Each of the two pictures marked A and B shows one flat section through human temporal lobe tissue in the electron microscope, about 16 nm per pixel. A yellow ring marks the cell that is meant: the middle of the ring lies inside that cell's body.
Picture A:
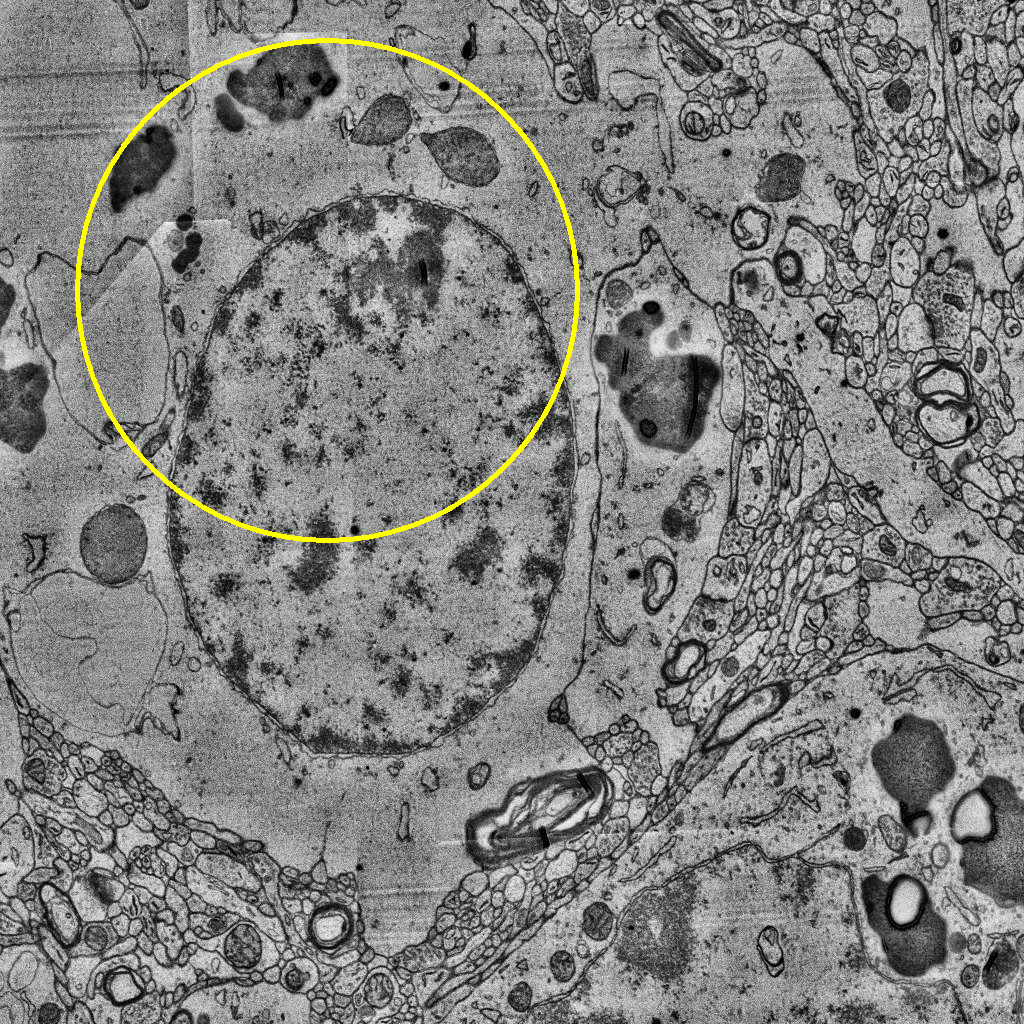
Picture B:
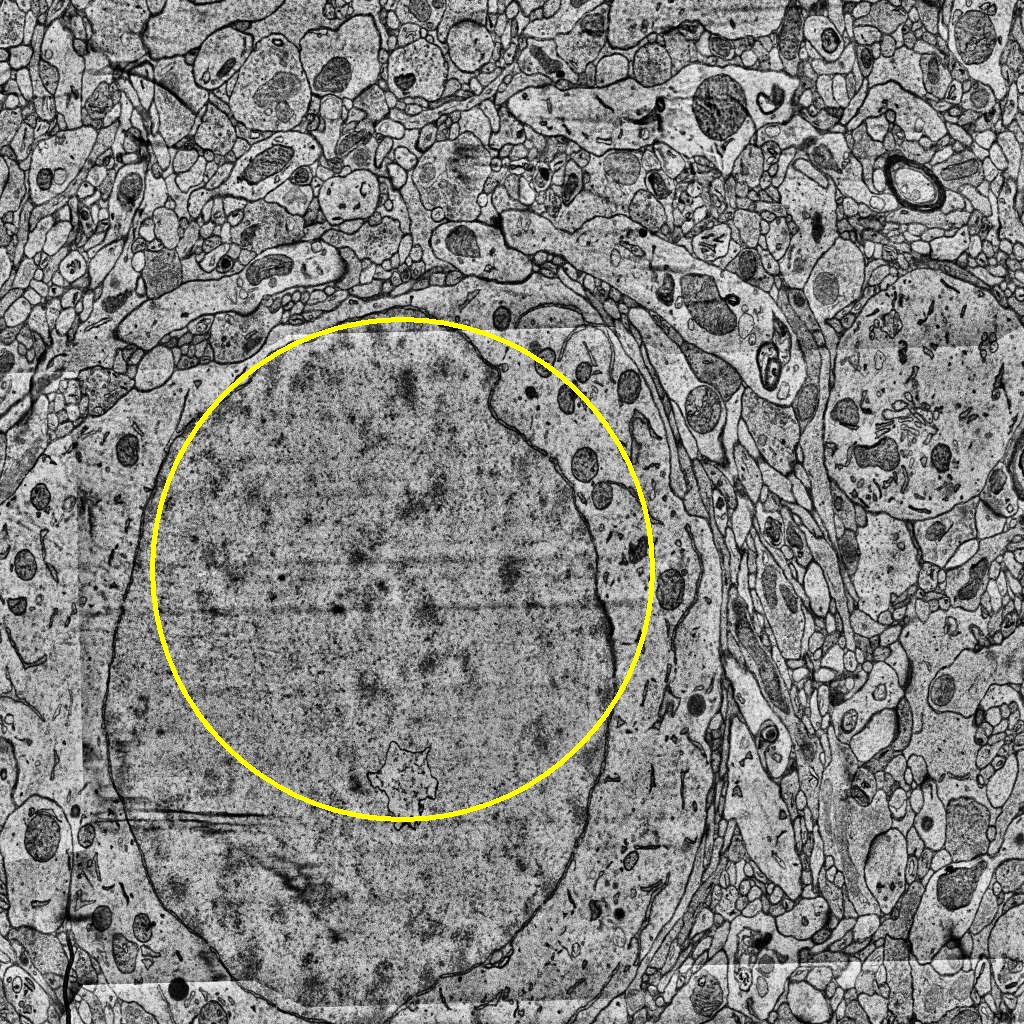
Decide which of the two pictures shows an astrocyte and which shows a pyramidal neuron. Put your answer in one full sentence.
It is picture A that shows an astrocyte, and picture B that shows a pyramidal neuron.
